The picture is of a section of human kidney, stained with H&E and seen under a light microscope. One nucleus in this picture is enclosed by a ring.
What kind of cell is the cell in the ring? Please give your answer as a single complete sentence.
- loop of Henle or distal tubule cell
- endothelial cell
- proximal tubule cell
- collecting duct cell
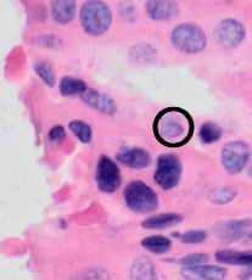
Recorded by type, the cell in the ring is a collecting duct cell.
